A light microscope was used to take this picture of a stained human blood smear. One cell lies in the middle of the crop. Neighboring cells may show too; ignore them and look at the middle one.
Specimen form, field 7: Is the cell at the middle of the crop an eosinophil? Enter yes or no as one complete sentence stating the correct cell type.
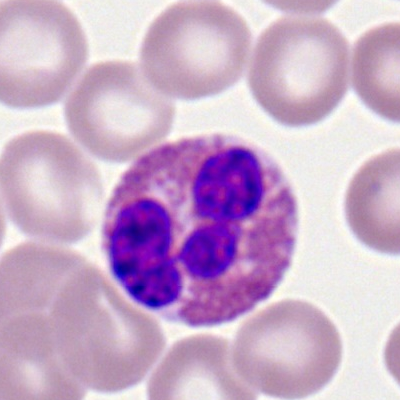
Yes, the centered cell in this field is an eosinophil.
